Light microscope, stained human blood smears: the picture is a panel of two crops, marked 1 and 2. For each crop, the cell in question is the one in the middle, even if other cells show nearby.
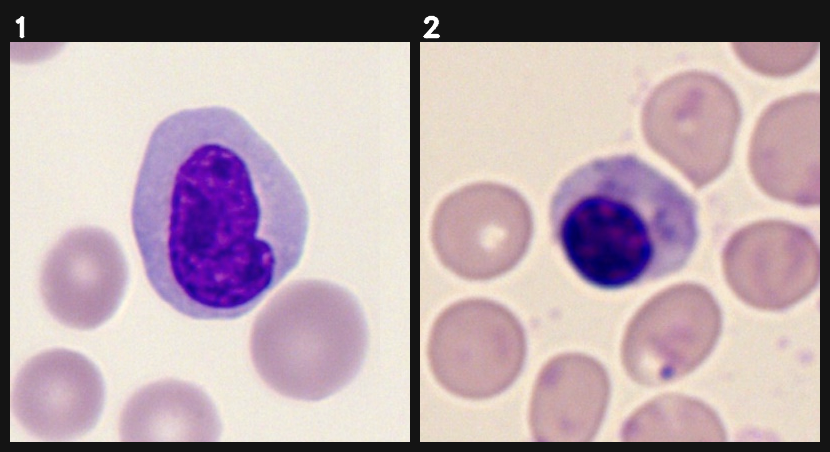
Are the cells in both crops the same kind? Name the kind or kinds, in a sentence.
Yes, the two central cells, one per crop, are erythroblasts.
